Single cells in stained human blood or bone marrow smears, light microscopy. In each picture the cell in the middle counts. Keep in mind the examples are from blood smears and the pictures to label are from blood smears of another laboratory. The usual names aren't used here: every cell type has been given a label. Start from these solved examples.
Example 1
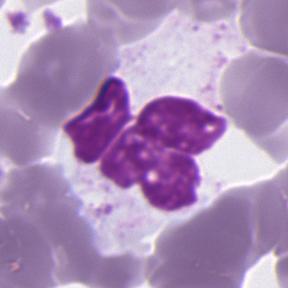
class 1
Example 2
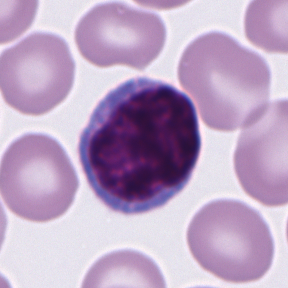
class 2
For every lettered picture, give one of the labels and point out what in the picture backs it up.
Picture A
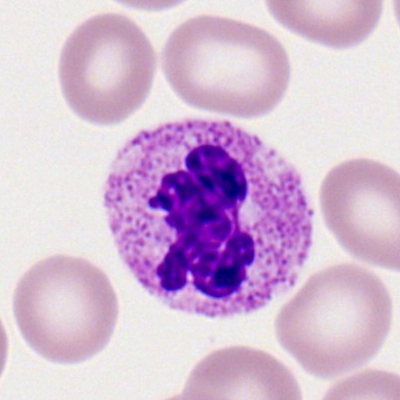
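class 1: The cytoplasm is plentiful and pale pink-lilac.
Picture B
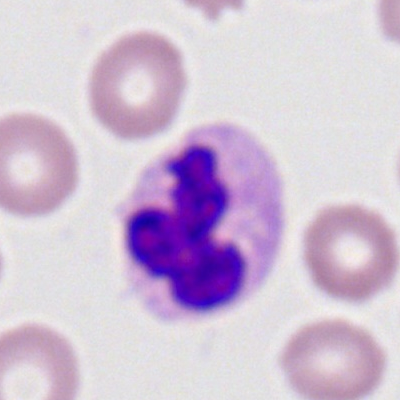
class 1: The nucleus is divided into several lobes that stay joined together.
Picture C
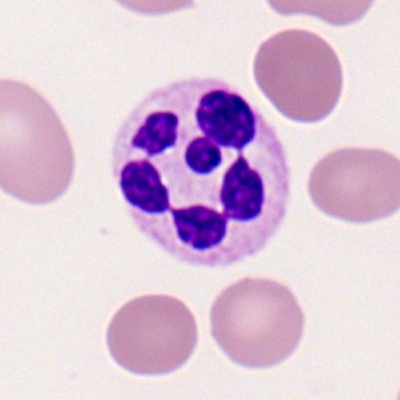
class 1: The cytoplasm is plentiful and pale pinkish-lilac.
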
